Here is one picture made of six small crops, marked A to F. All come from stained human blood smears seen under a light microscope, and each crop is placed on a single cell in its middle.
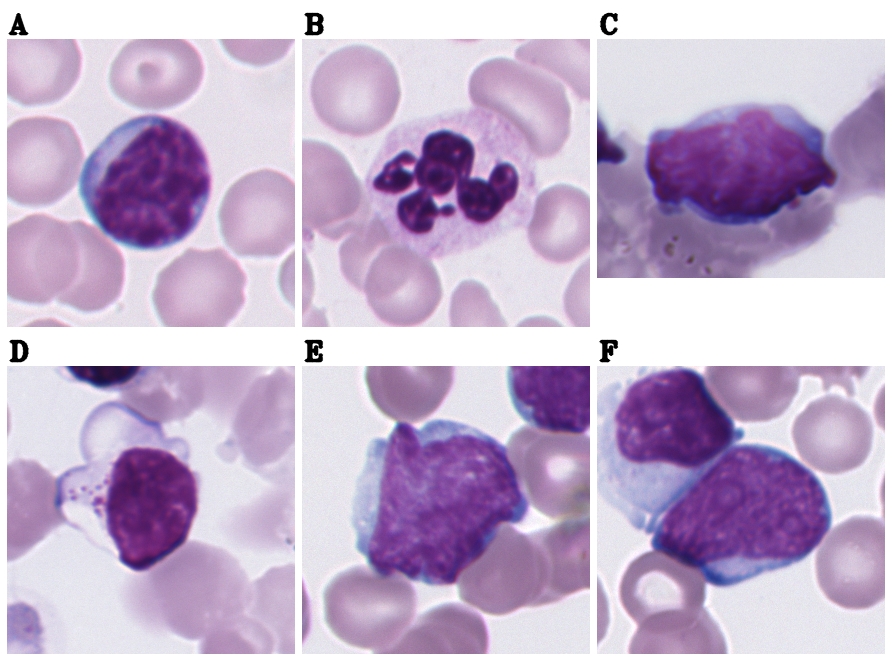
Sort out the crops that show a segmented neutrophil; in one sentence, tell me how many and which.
Only one crop shows a segmented neutrophil, and that is crop B.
